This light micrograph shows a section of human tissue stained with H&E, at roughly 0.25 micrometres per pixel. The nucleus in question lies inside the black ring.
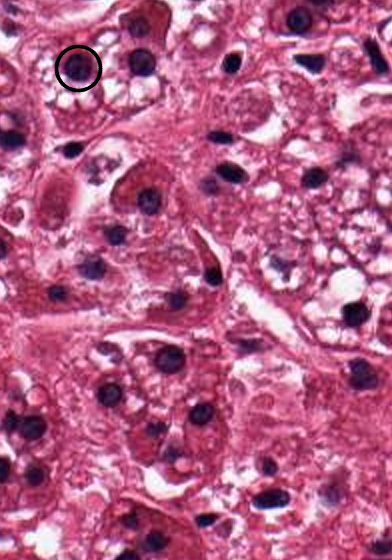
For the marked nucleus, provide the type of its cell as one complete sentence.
To an adrenal cortical cell belongs the marked nucleus.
